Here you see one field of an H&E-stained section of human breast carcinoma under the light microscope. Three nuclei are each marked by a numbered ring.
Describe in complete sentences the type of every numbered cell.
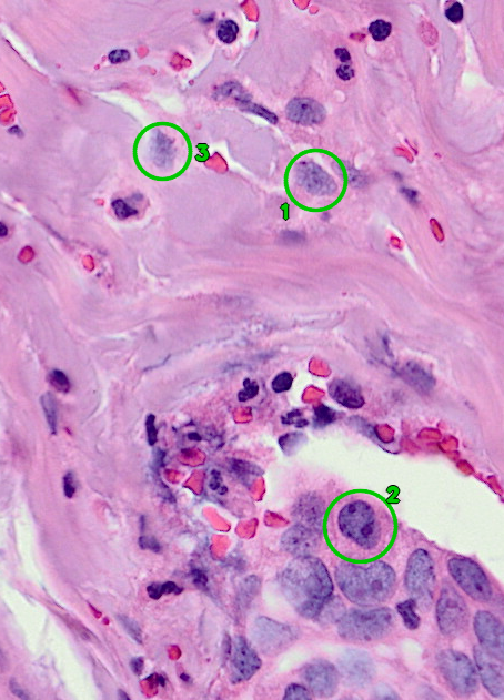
Cells 1 and 3 are fibroblasts. Cell 2 is a carcinoma cell.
